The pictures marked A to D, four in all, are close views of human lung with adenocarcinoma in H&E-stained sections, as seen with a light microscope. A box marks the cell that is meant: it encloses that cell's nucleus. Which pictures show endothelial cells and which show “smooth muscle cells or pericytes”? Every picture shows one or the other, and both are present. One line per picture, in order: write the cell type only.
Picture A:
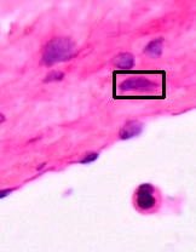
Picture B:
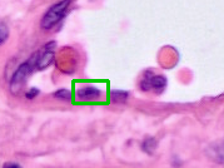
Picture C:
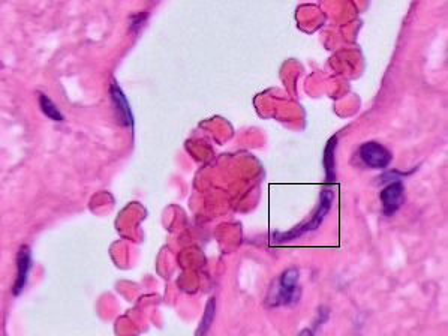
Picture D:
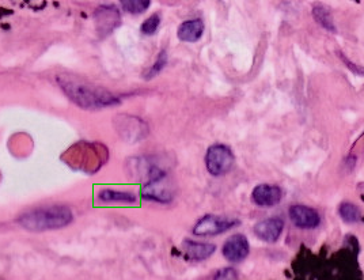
smooth muscle cell or pericyte
endothelial cell
endothelial cell
endothelial cell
